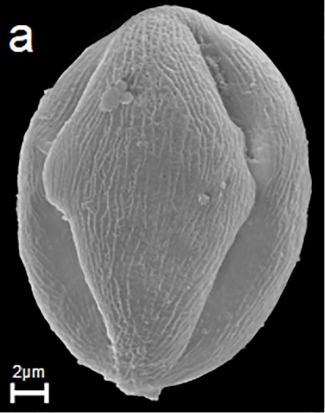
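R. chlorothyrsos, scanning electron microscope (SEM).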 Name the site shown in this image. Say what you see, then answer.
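The grain is elliptic, longer than wide. Long furrows run from pole to pole along the grain's length.
Hence: equatorial views.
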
